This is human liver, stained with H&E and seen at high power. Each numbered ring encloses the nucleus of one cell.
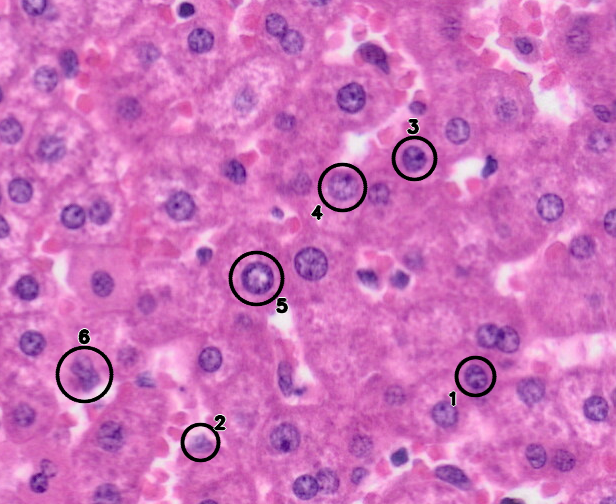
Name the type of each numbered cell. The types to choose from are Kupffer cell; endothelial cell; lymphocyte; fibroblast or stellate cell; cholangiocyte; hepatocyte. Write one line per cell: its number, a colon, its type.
1: hepatocyte
2: Kupffer cell
3: hepatocyte
4: hepatocyte
5: hepatocyte
6: Kupffer cell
